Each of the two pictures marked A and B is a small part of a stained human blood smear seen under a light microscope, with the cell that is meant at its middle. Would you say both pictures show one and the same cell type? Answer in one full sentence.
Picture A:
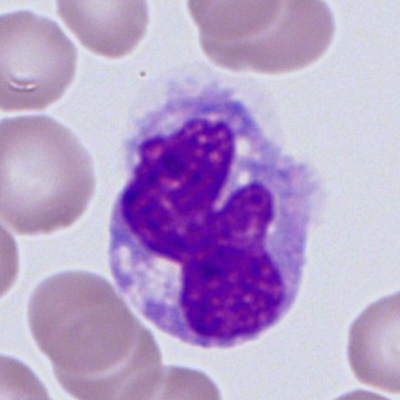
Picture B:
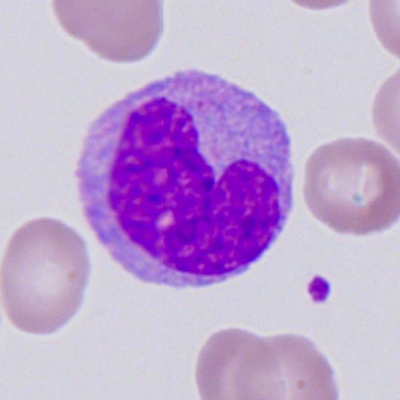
Yes, both cells are monocytes.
